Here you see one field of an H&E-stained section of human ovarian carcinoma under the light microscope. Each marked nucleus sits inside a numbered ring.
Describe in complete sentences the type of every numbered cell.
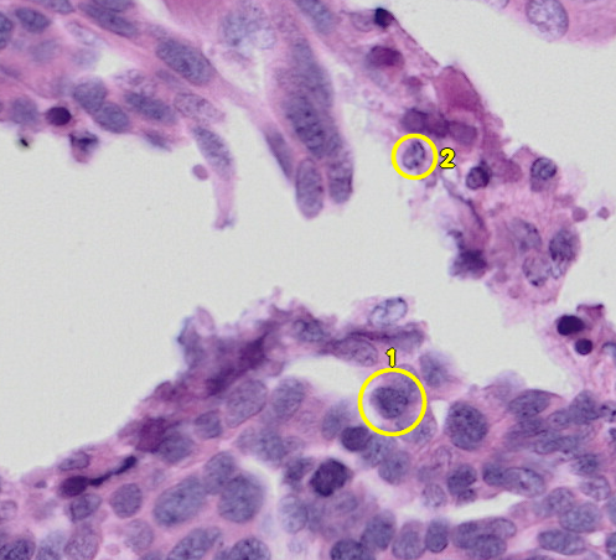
Cell 1 is a carcinoma cell and cell 2 is a macrophage or monocyte.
